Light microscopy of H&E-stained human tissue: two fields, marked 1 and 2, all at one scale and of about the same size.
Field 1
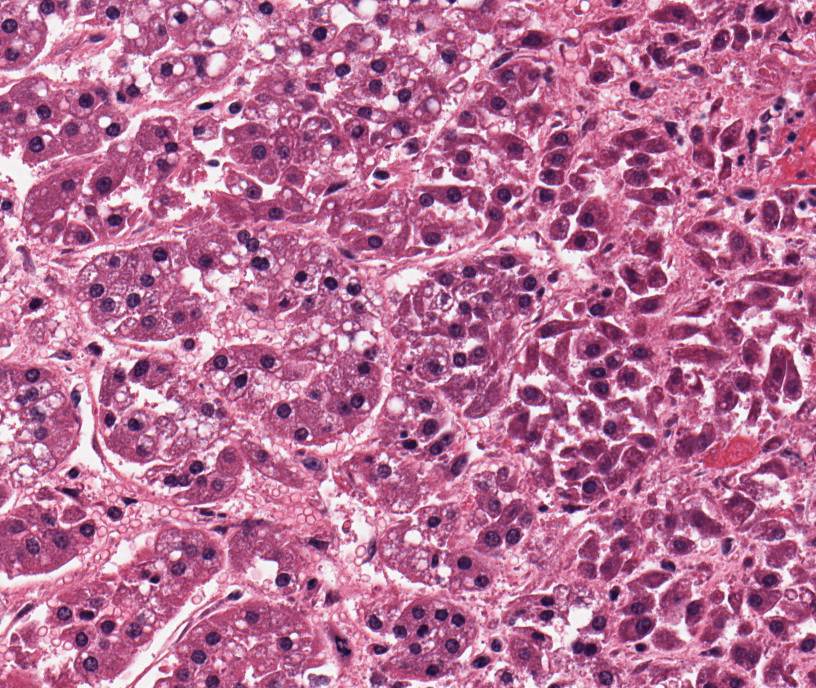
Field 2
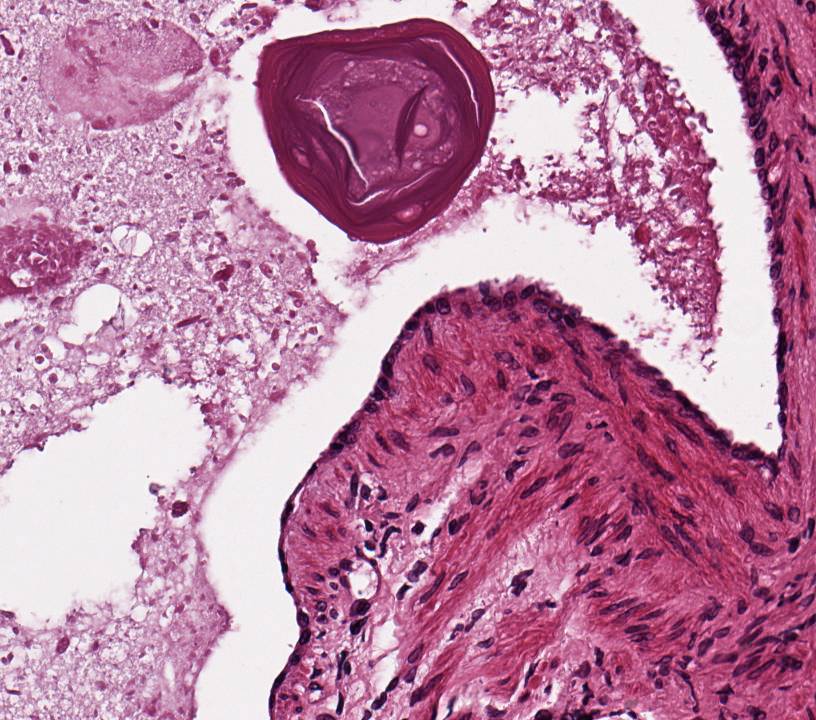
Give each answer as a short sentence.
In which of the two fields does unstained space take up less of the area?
Field 1 has less white space.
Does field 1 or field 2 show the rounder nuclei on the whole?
On the whole the nuclei of field 1 are rounder than those of field 2.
